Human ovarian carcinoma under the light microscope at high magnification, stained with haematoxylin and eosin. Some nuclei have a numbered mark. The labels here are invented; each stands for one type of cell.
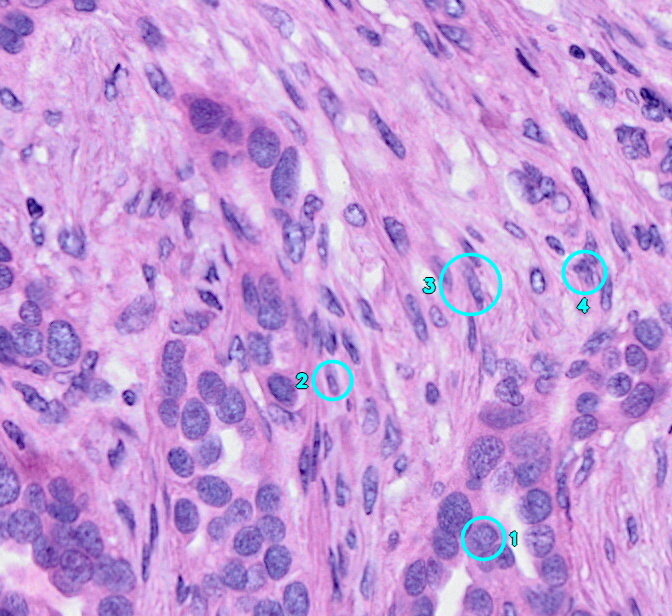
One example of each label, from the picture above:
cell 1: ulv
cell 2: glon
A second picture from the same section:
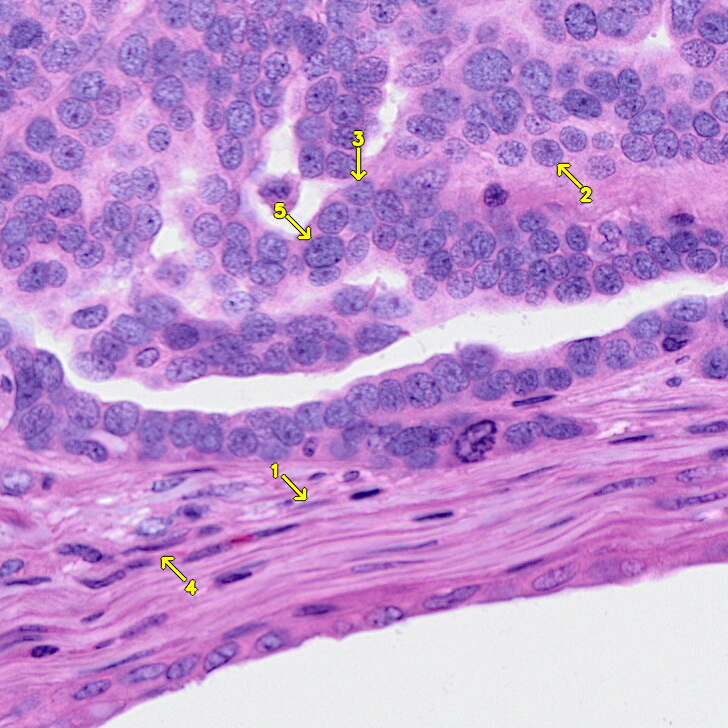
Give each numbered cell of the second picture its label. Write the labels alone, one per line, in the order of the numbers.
glon
ulv
ulv
glon
ulv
